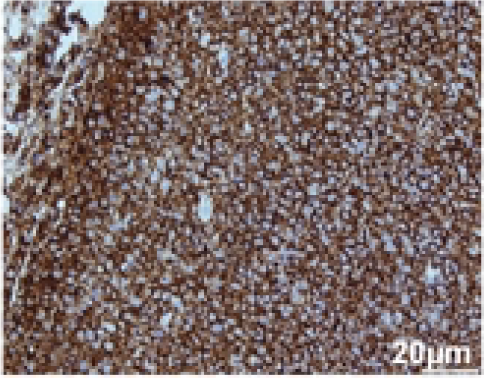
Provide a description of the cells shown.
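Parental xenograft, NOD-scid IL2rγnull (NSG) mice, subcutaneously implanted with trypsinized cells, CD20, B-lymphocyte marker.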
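This section shows a densely cellular tumor composed of sheets of small to medium-sized round lymphoid cells. Almost every cell is outlined by brown staining that rims its round blue nucleus, giving a cobblestone pattern. The cells are closely packed with little intervening stroma, and only a few pale gaps and thin strands interrupt the sheet, with a looser band of tissue along the left edge.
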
